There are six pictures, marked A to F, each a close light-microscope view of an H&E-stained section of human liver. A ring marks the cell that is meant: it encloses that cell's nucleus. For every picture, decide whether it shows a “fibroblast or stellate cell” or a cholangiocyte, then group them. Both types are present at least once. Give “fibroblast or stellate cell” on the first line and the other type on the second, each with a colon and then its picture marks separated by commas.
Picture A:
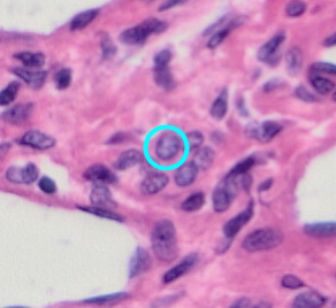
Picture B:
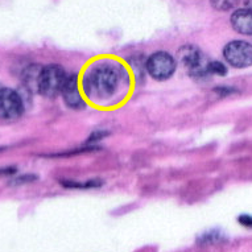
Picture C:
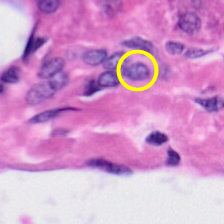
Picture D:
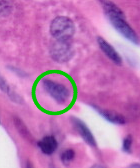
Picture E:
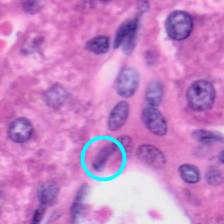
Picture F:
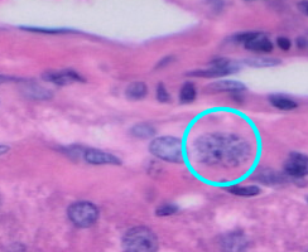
fibroblast or stellate cell: D, E
cholangiocyte: A, B, C, F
